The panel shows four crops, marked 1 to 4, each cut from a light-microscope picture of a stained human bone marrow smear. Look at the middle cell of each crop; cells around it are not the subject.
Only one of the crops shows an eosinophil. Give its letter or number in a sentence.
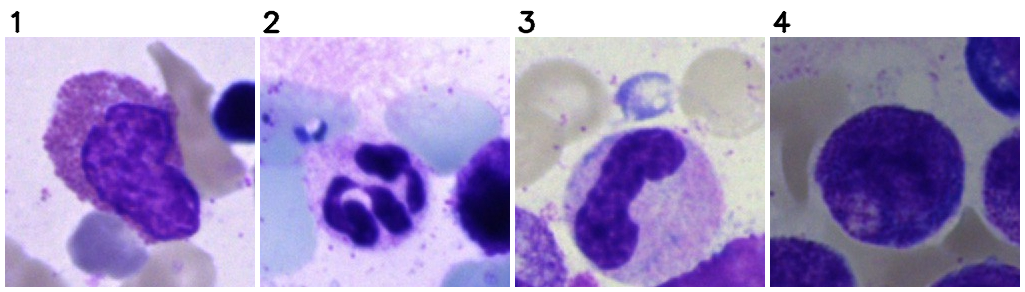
Among the crops provided, an eosinophil occupies the center of crop 1.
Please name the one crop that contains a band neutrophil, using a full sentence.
Crop 3 is the one depicting a band neutrophil.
